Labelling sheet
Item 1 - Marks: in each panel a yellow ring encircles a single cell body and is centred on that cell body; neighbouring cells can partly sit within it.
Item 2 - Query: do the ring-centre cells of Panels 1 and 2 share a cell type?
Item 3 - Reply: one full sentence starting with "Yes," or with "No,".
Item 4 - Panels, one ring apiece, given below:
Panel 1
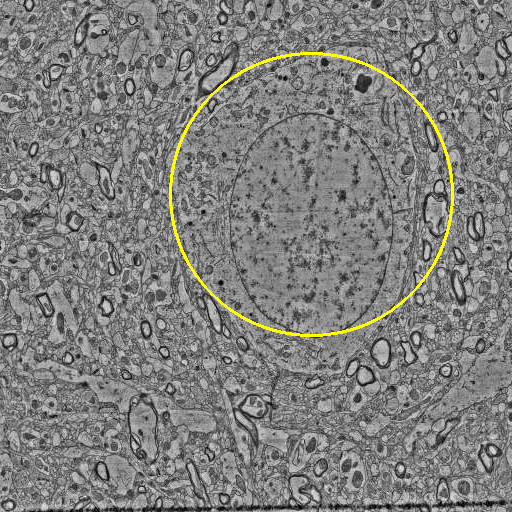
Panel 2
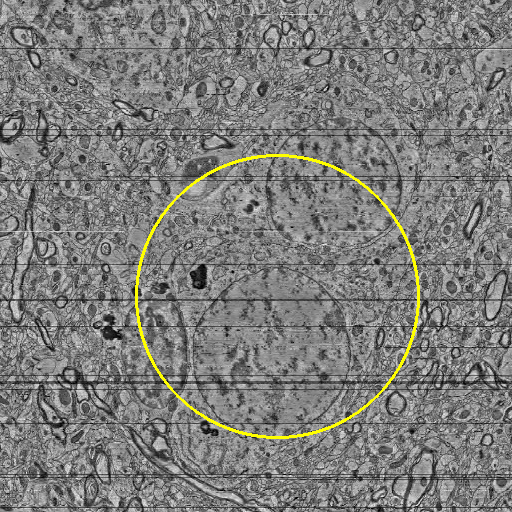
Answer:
Yes, Panel 1 and Panel 2 show one cell type at the centres of their rings.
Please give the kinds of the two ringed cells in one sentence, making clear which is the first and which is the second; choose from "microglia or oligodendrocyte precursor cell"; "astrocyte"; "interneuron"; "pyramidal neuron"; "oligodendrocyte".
The ring centre holds a pyramidal neuron in each of the two pictures.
